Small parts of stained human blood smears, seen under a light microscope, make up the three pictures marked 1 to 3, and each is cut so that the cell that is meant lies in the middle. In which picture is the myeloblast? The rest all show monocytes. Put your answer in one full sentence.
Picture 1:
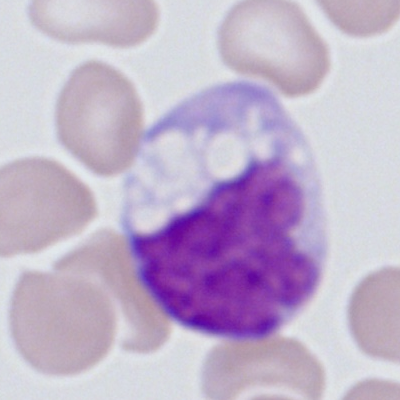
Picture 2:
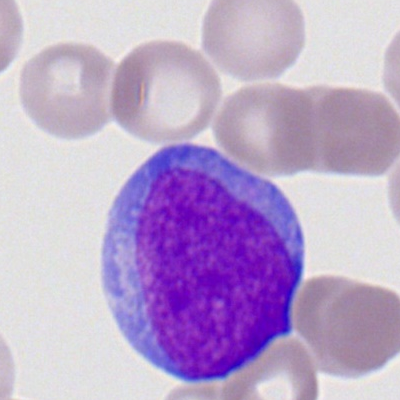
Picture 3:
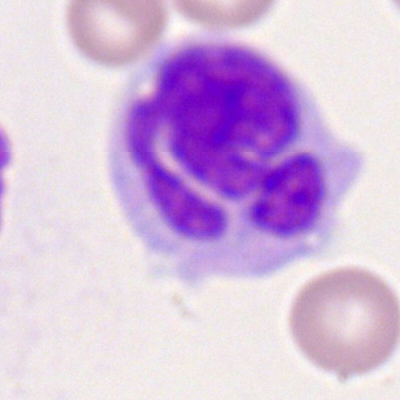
Picture 2 shows the myeloblast.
